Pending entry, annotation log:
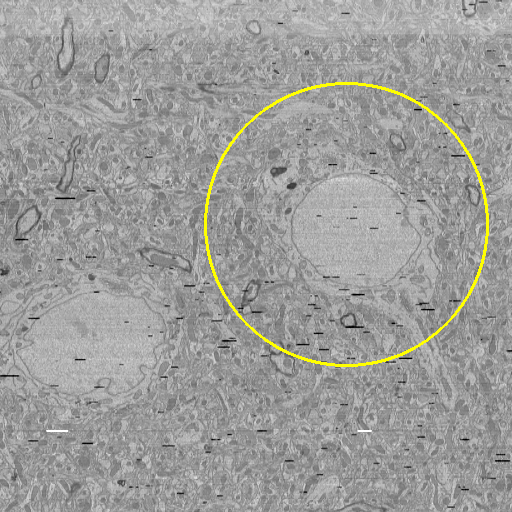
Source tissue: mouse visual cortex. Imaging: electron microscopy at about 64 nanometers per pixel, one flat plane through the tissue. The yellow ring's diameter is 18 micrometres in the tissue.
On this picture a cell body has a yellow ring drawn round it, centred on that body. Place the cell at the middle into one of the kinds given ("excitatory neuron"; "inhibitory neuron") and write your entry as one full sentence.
The cell body at the middle of the yellow ring belongs to an excitatory neuron.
